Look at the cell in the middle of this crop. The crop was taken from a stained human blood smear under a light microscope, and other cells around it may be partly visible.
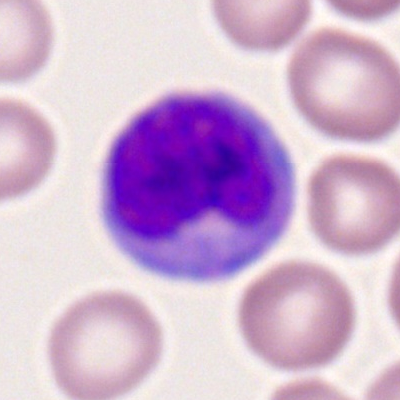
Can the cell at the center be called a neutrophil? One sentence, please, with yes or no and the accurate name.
No, the centered cell is a monocyte and not a neutrophil at all.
